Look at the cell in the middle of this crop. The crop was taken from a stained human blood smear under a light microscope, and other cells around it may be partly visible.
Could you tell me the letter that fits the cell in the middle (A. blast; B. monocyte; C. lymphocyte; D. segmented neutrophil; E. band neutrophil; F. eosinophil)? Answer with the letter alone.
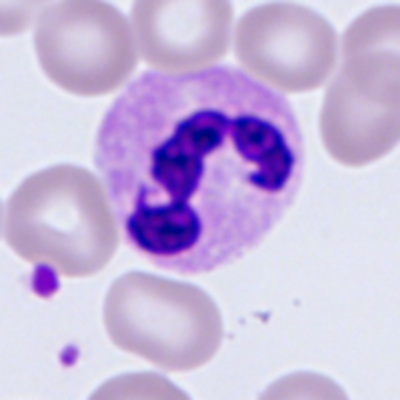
D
